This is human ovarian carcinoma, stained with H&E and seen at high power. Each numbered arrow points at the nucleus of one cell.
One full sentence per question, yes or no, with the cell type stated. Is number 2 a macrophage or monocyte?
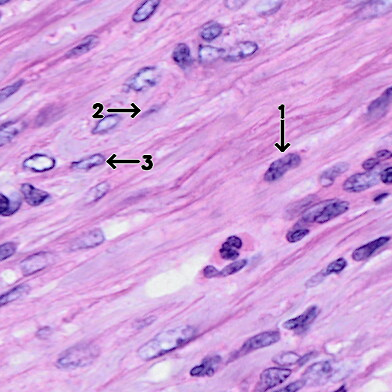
No, the correct answer for cell 2 is a fibroblast, not a macrophage or monocyte.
